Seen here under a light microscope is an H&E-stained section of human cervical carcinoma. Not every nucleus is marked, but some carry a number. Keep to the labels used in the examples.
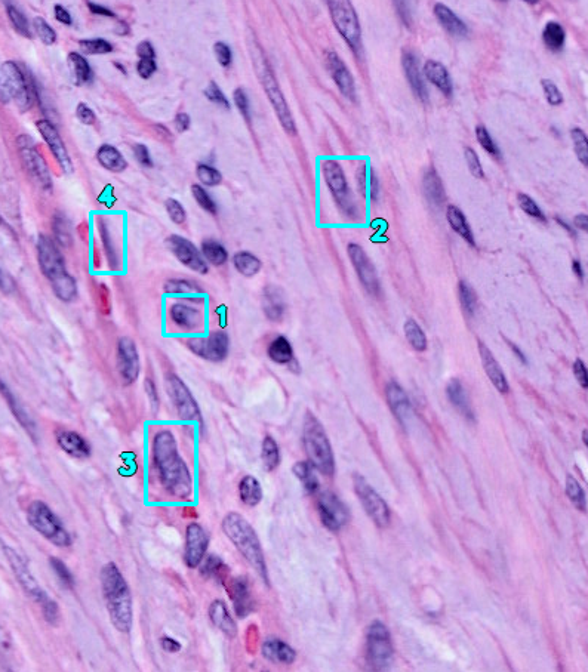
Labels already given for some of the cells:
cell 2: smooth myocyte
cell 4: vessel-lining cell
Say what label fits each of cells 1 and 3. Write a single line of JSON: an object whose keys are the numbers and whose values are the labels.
{"1": "vessel-lining cell", "3": "vessel-lining cell"}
